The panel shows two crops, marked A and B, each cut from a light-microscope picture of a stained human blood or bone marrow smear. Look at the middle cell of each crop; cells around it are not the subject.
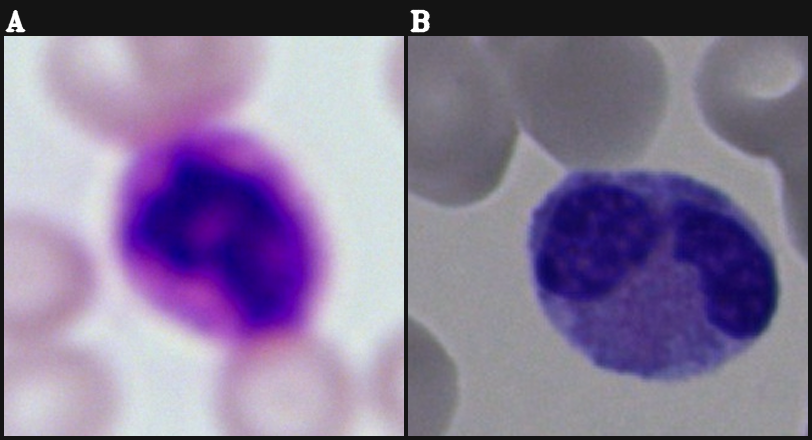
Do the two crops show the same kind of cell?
no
